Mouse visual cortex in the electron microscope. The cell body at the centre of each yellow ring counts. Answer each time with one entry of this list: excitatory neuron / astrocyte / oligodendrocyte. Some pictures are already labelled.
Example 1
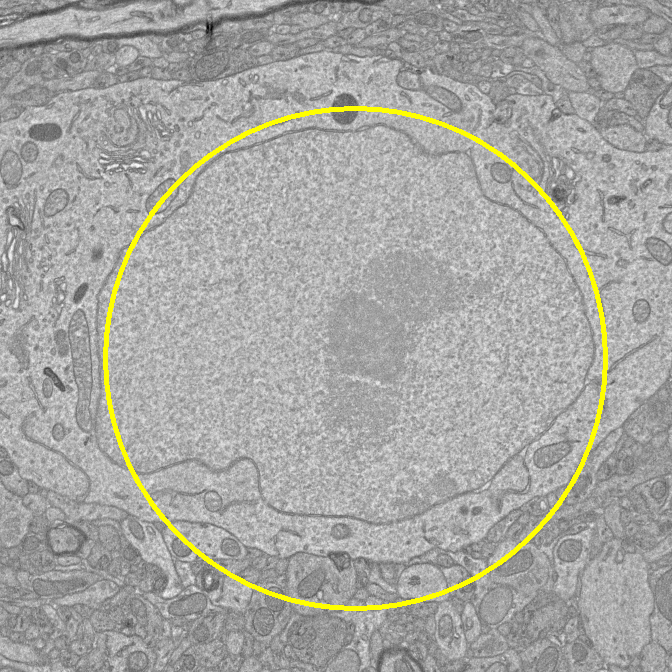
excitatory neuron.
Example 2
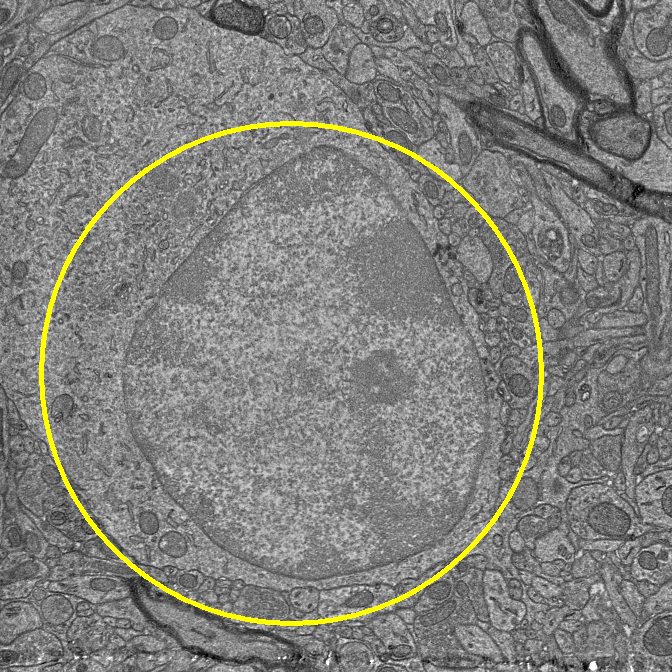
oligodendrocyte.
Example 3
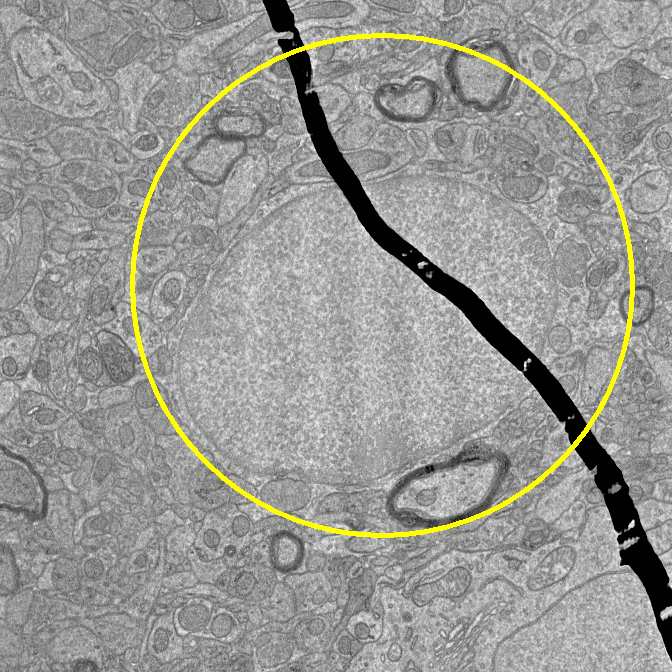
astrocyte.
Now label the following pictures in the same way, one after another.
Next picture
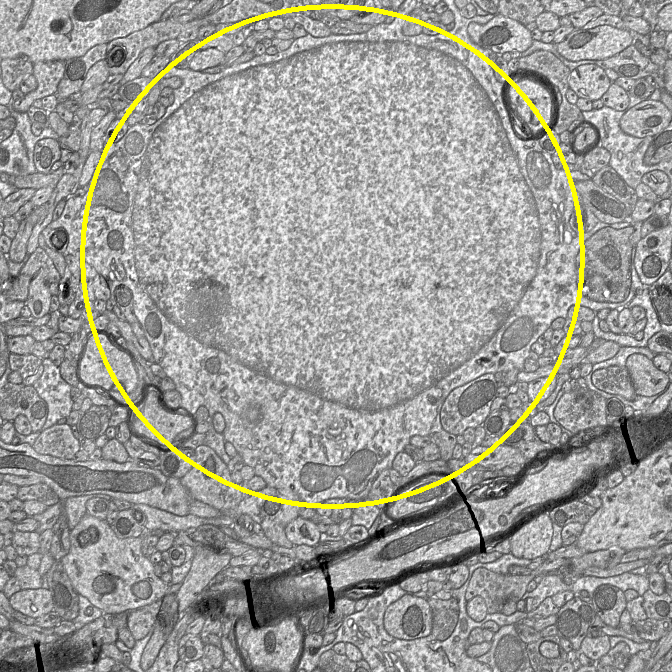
astrocyte.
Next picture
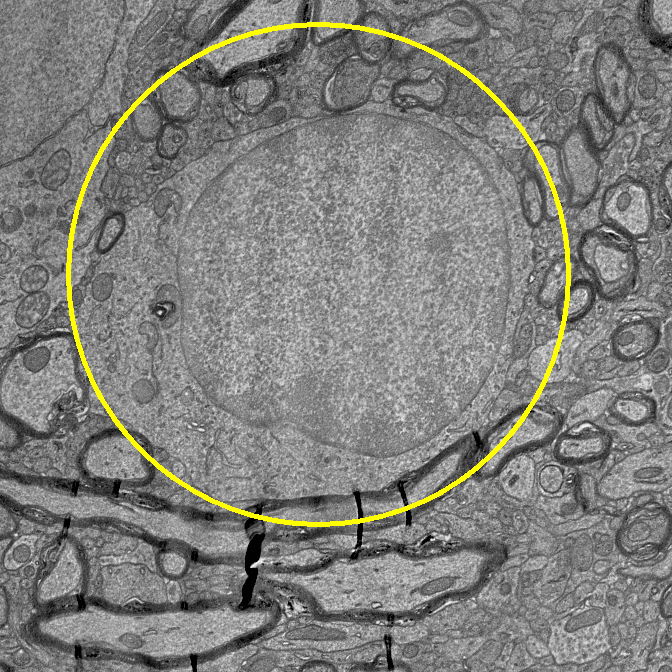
oligodendrocyte.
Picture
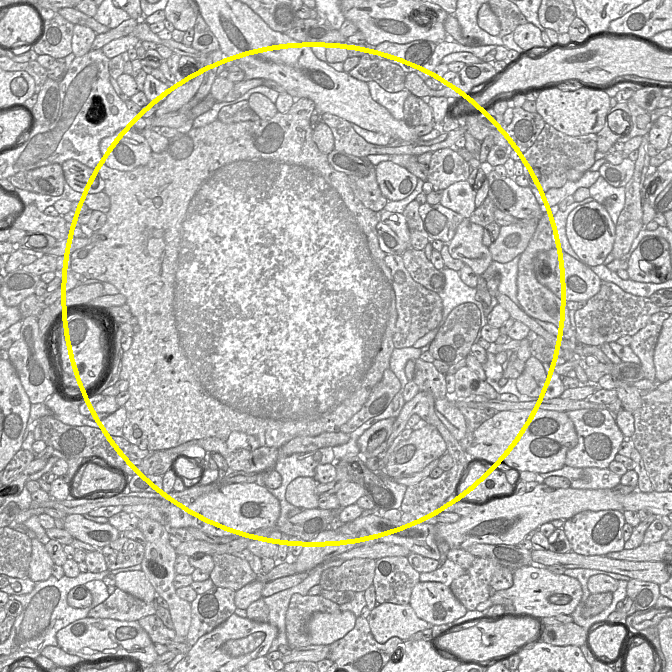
oligodendrocyte.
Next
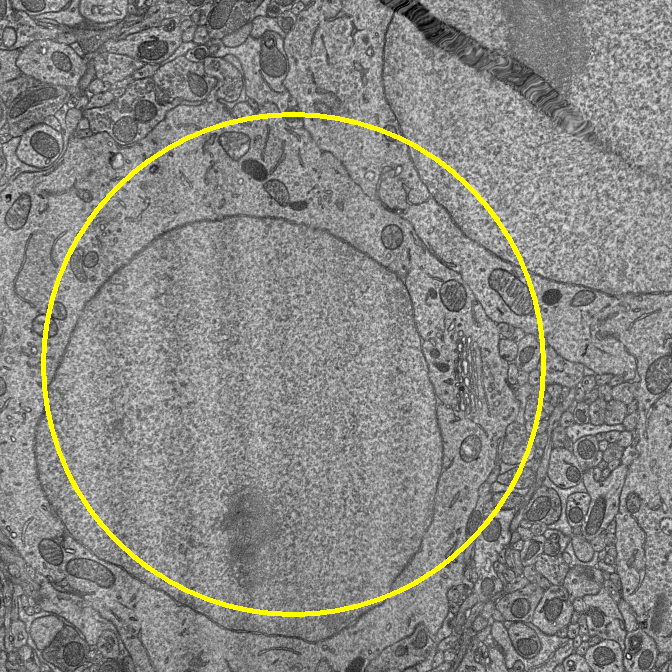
excitatory neuron.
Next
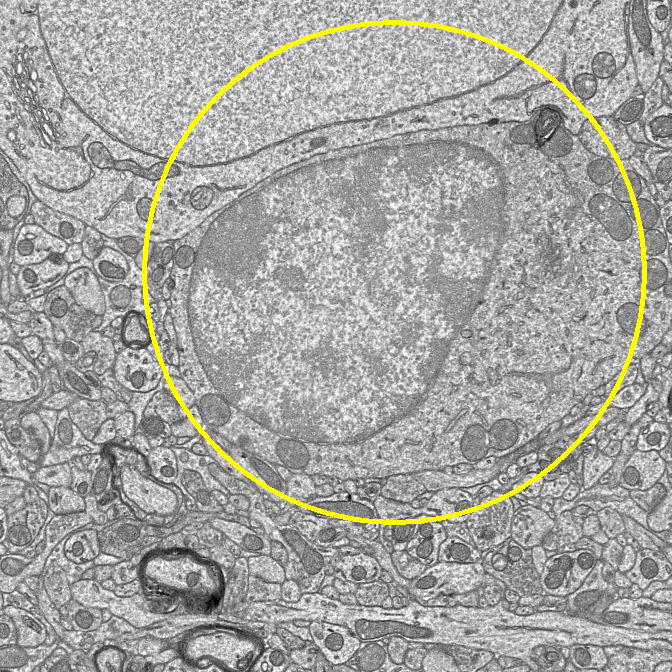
oligodendrocyte.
